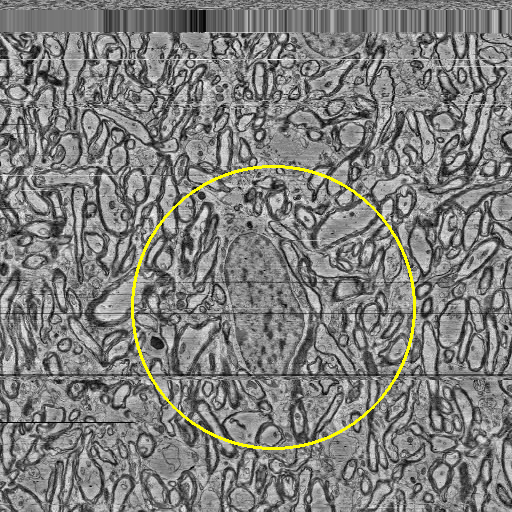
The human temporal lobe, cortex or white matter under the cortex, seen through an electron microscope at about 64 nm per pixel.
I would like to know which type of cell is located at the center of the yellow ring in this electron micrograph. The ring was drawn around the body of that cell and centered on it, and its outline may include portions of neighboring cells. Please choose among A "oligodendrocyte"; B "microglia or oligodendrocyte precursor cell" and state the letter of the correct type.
B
